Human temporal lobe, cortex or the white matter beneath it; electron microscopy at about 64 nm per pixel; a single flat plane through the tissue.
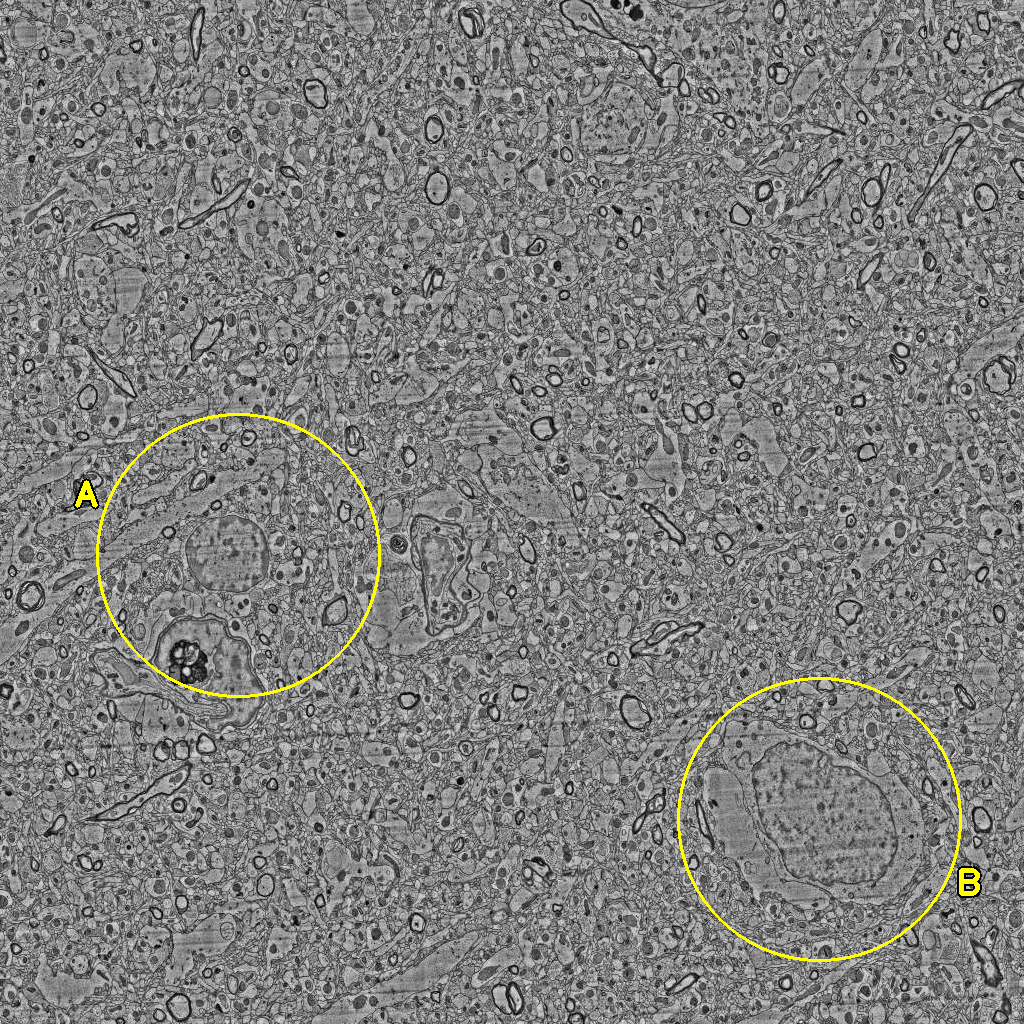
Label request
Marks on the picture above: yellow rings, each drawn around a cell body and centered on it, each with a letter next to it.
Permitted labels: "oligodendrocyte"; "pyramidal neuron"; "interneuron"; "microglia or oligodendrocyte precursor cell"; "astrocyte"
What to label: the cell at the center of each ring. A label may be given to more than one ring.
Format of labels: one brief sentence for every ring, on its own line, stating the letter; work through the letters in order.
The cell at the center of ring A is a microglial cell or oligodendrocyte precursor cell.
The cell at the center of ring B is an interneuron.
